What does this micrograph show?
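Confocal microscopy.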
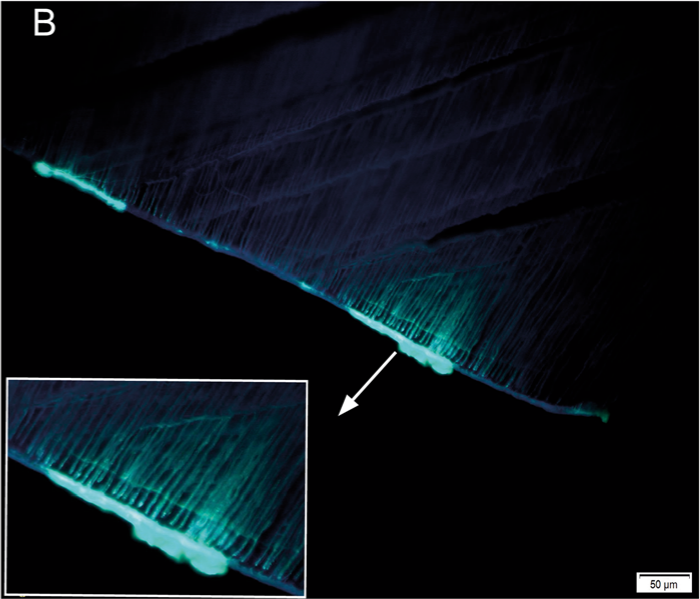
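Bright green-cyan fluorescence fills the tubules near the edge as elongated streaks that fade further into the tissue, with brighter deposits lying along the edge itself. The deeper dentin appears dim blue, with the tubules faintly visible as parallel lines.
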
